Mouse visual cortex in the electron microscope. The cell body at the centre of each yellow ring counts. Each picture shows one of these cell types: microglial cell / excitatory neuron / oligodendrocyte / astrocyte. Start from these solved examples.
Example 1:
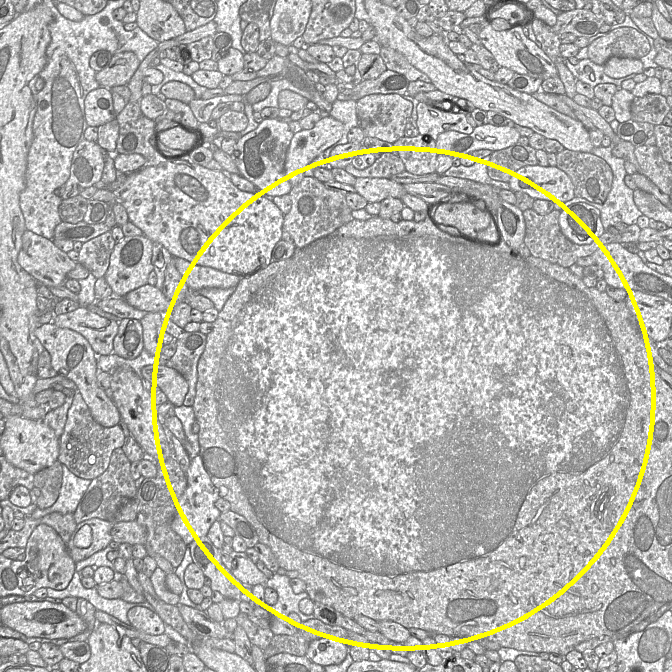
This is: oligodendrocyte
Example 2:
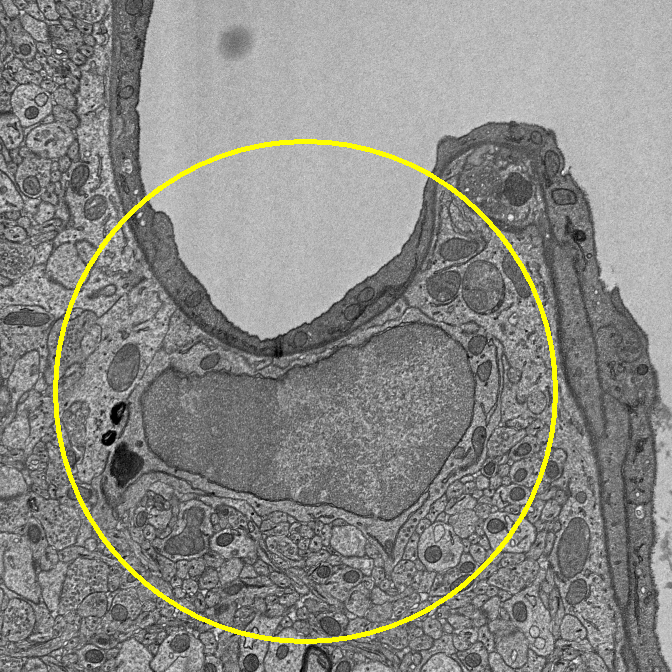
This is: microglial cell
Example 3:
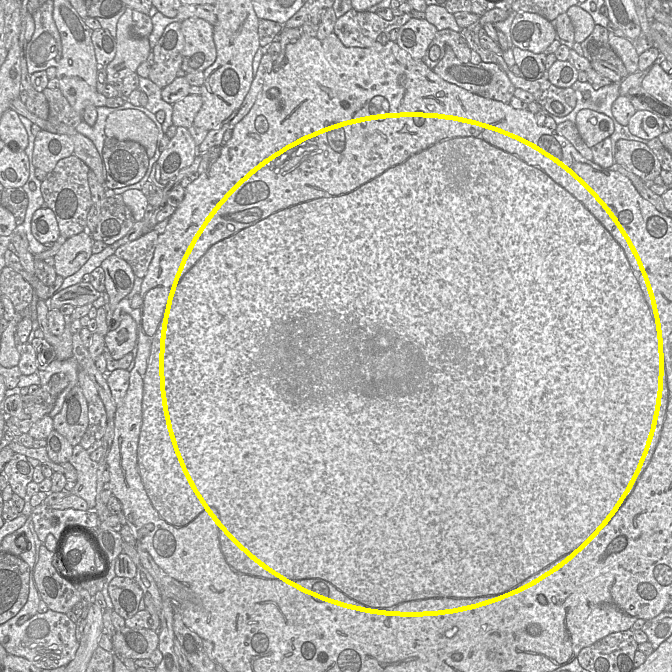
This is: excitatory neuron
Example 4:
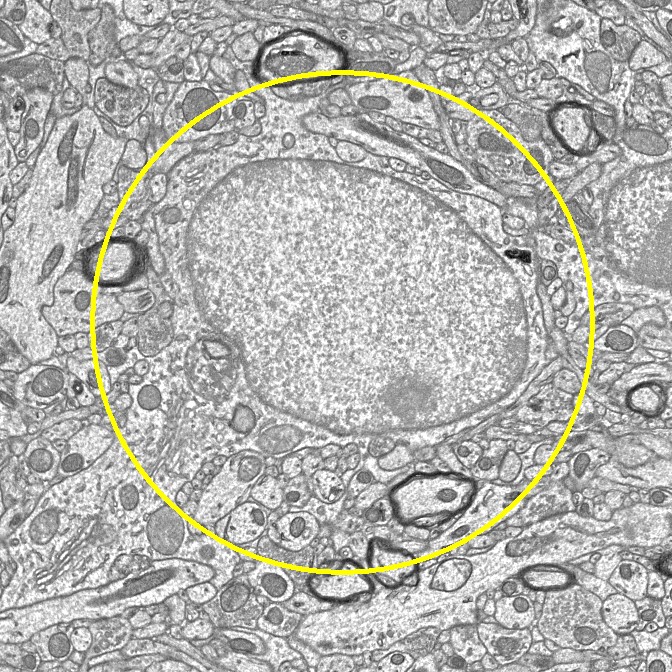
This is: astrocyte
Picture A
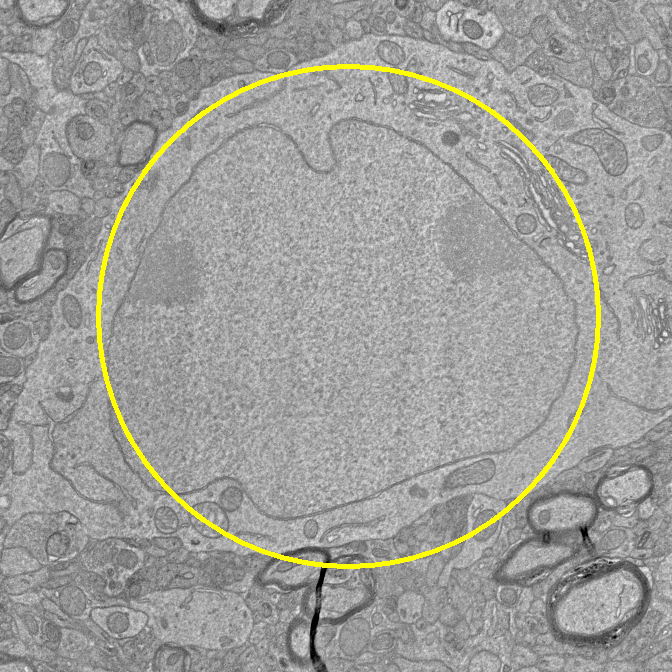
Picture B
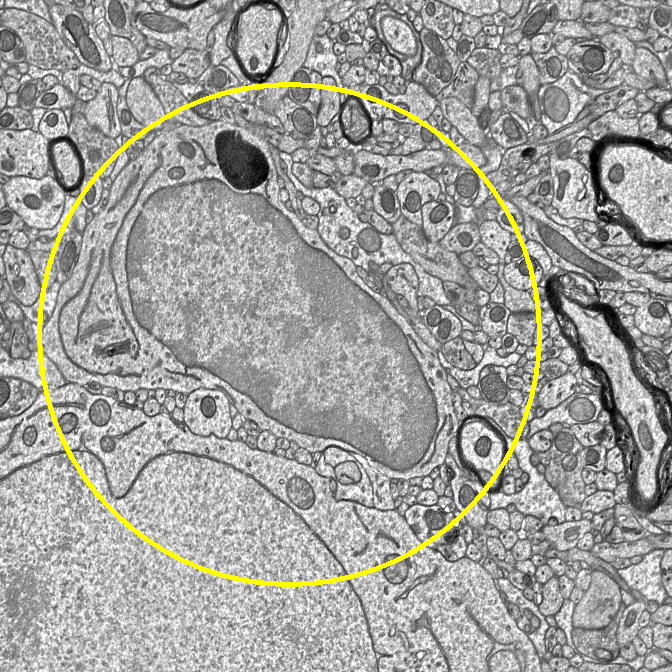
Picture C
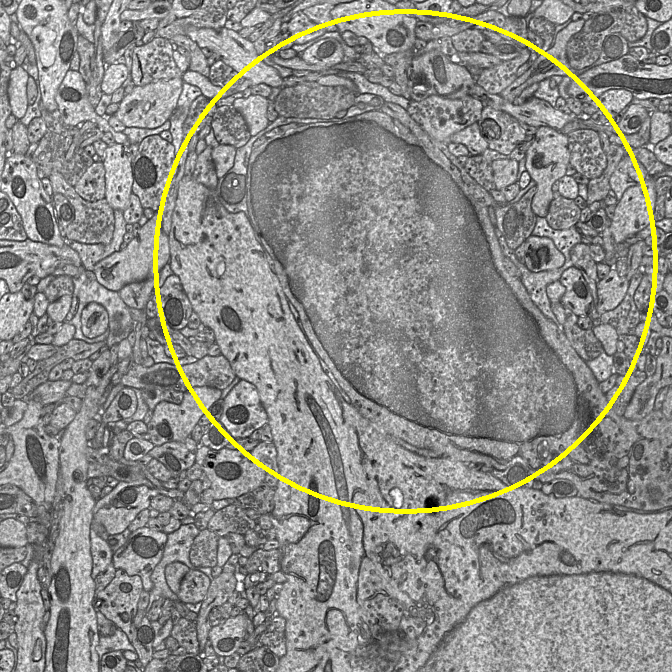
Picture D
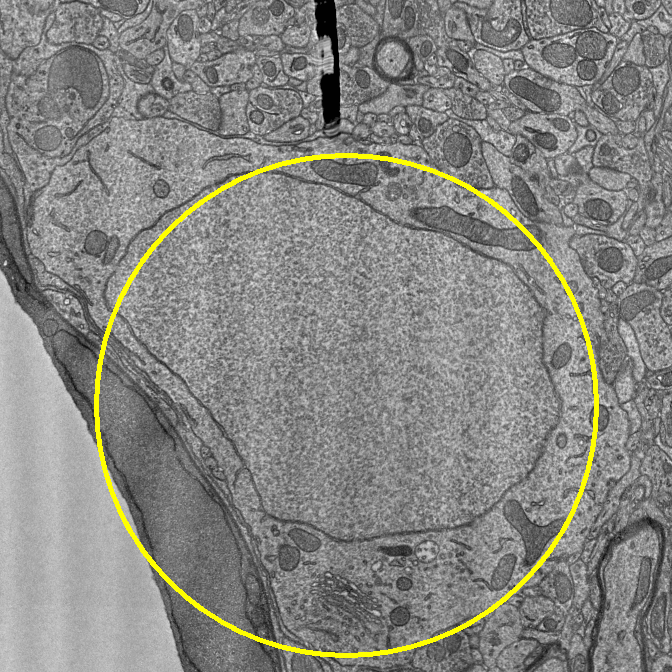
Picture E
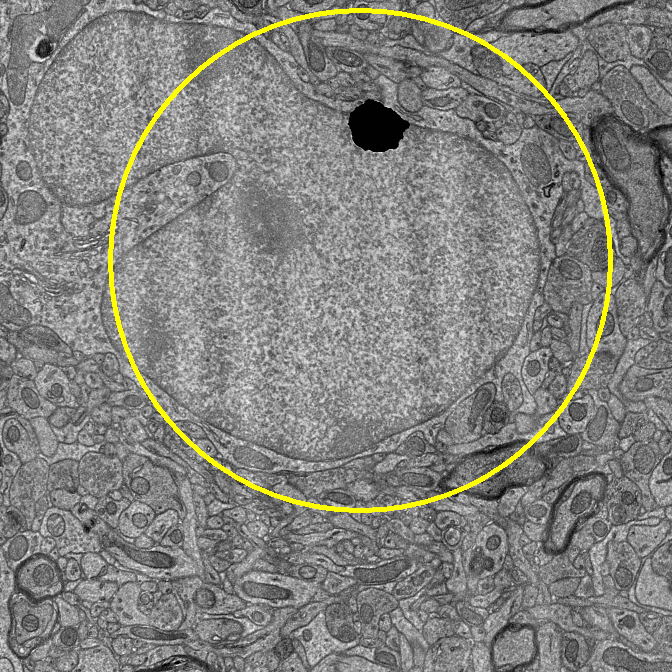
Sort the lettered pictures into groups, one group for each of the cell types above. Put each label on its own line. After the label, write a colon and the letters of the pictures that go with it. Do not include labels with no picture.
microglial cell: B, C
excitatory neuron: A, D
astrocyte: E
